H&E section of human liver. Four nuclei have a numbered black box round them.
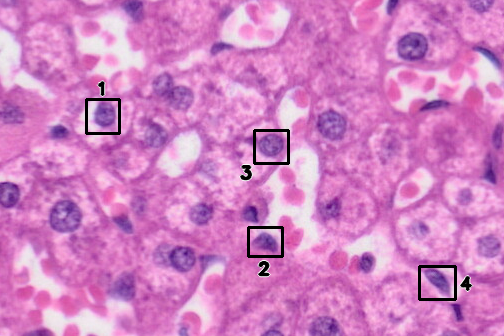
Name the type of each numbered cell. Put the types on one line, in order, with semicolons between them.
hepatocyte; endothelial cell; hepatocyte; Kupffer cell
